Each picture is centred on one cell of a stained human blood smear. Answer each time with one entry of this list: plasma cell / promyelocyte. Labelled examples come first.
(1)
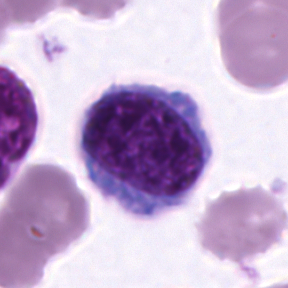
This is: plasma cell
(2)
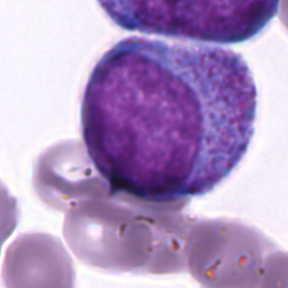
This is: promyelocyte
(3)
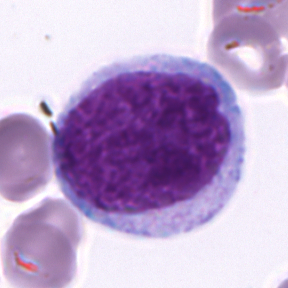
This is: promyelocyte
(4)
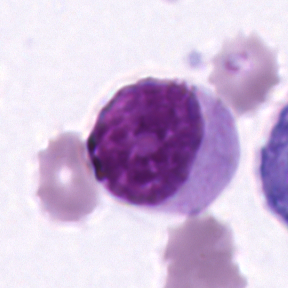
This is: plasma cell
